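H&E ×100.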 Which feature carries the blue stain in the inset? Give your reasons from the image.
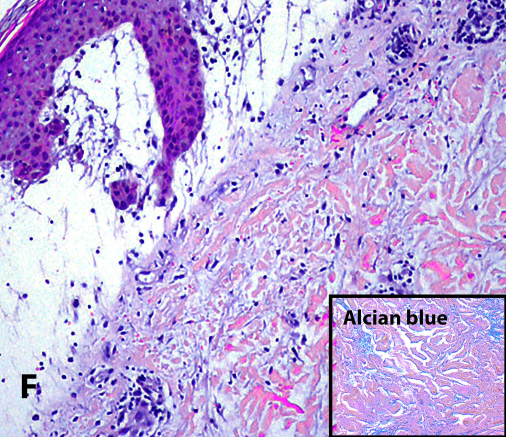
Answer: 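Pale blue material fills the spaces between pink collagen bundles in the inset. The answer: dermal mucin.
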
